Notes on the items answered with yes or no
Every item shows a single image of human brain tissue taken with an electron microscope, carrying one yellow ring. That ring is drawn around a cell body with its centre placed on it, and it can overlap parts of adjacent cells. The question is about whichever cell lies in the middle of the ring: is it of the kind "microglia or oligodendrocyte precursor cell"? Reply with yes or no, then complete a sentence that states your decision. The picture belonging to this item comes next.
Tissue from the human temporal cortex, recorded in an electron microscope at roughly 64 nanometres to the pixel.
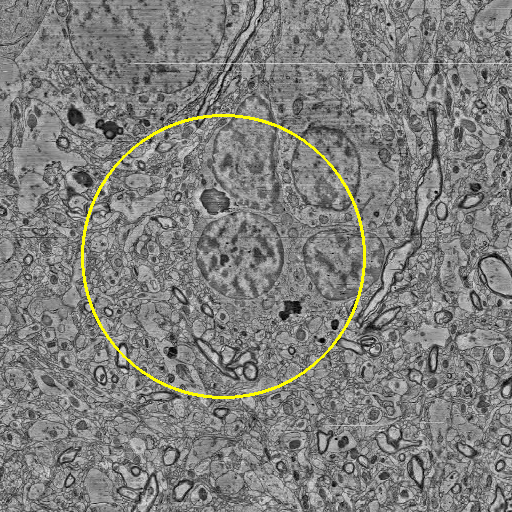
No, this micrograph shows a cell of another kind in the middle of the ring.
